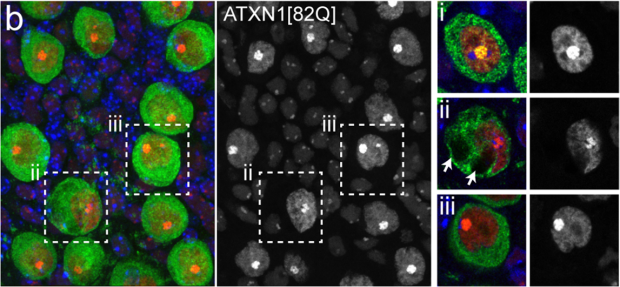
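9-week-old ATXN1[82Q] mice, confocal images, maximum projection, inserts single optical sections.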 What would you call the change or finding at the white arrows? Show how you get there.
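The arrows point to dark empty holes in the green cytoplasm of one cell. The holes are round and lack green signal. So: large vacuoles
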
